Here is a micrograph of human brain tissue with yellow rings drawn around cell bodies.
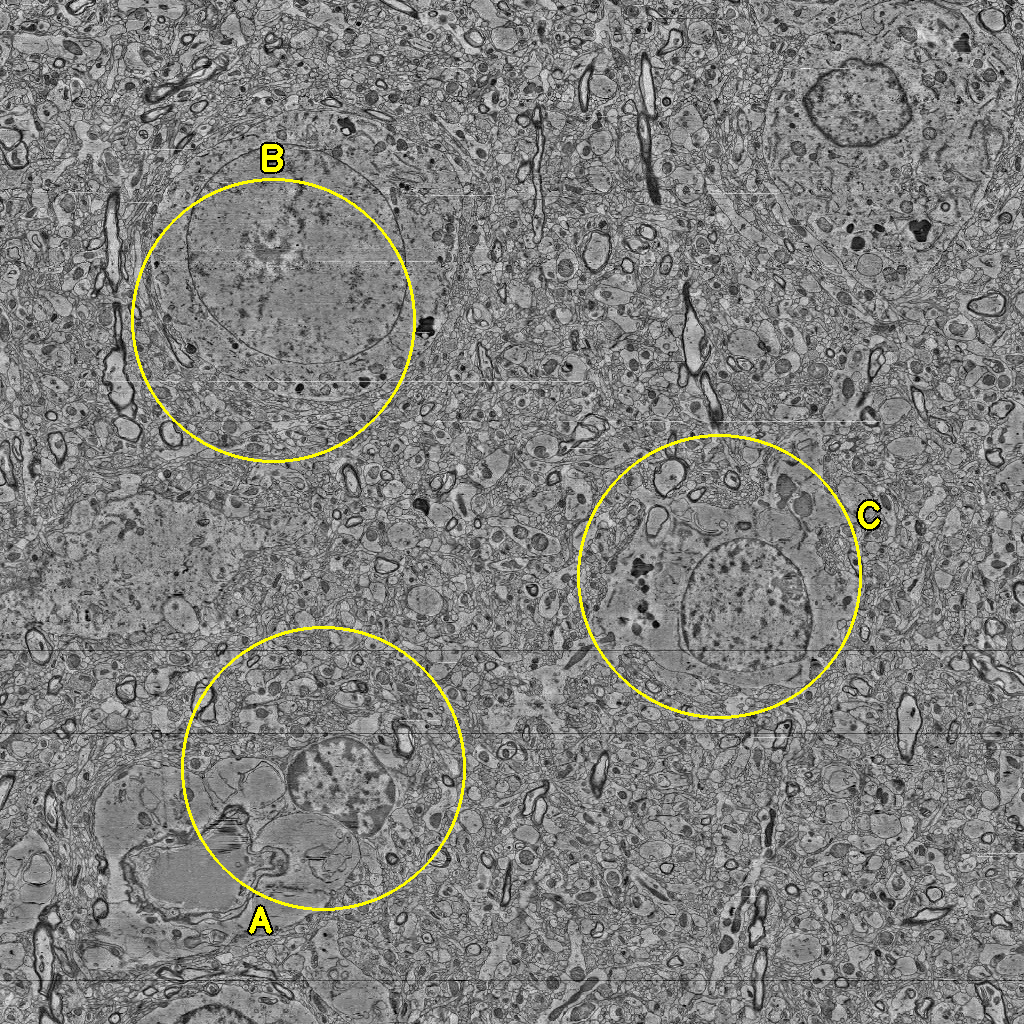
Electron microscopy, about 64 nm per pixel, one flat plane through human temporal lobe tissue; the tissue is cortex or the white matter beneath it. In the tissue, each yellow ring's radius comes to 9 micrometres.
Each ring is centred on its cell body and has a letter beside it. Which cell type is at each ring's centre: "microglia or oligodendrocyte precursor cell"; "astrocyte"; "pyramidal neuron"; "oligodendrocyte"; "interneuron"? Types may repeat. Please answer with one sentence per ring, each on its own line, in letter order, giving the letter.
Ring A shows a microglial cell or oligodendrocyte precursor cell at its centre.
Ring B shows a pyramidal neuron at its centre.
Ring C shows an astrocyte at its centre.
